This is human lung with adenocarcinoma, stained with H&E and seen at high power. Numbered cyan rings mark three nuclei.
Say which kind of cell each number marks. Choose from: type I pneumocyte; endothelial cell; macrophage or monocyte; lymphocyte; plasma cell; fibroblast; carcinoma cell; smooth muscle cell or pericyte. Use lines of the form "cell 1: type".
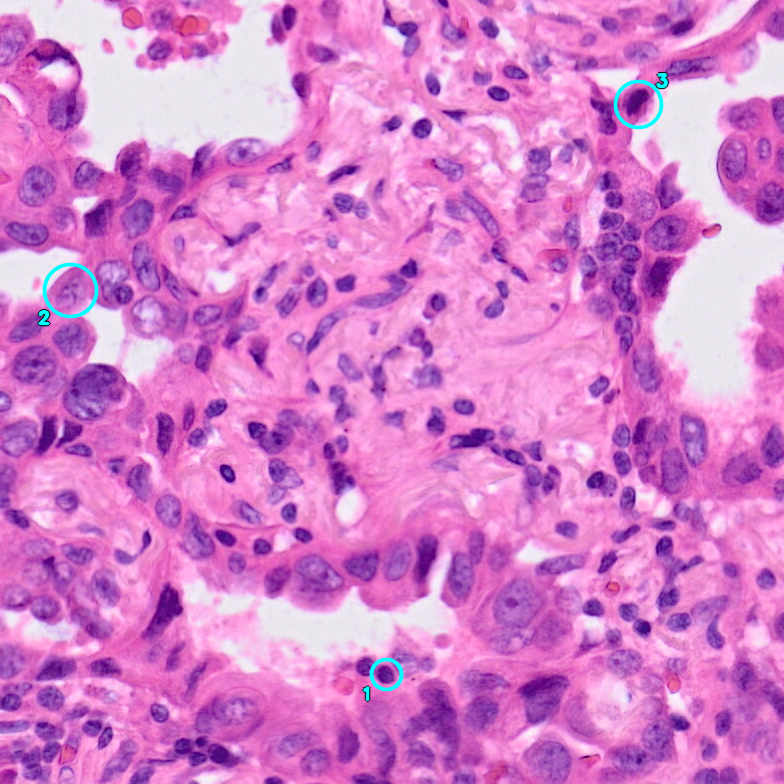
cell 1: lymphocyte
cell 2: carcinoma cell
cell 3: carcinoma cell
